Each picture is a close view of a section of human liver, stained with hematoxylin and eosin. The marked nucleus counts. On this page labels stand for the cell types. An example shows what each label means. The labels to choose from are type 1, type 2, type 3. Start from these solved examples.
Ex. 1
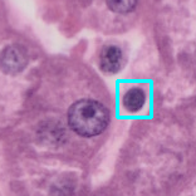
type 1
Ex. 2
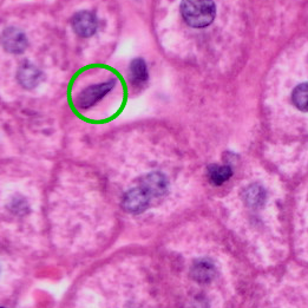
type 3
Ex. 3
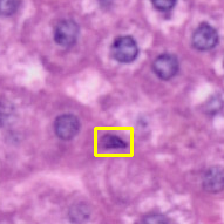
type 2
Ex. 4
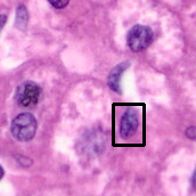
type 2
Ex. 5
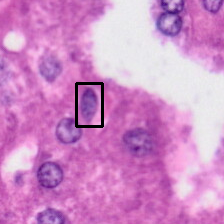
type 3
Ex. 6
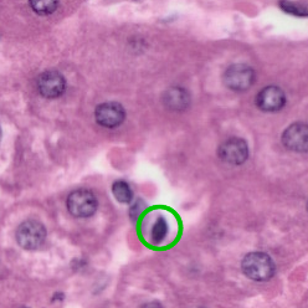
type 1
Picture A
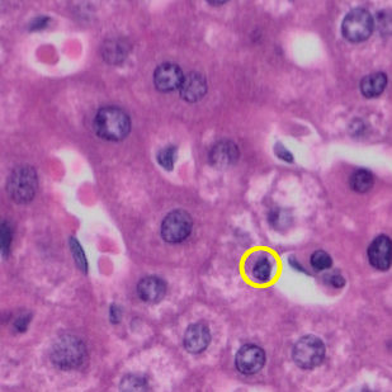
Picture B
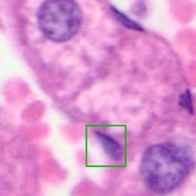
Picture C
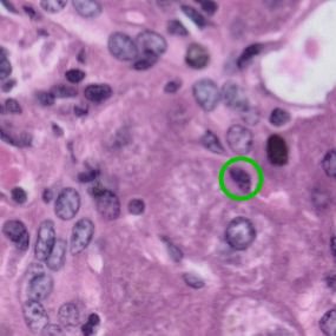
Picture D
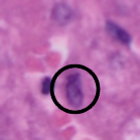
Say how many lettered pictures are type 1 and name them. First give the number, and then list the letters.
0, none of them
